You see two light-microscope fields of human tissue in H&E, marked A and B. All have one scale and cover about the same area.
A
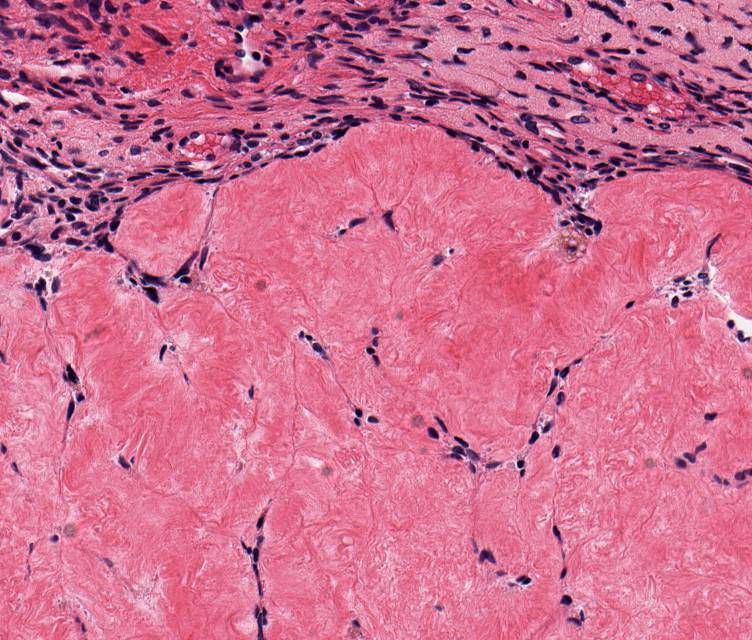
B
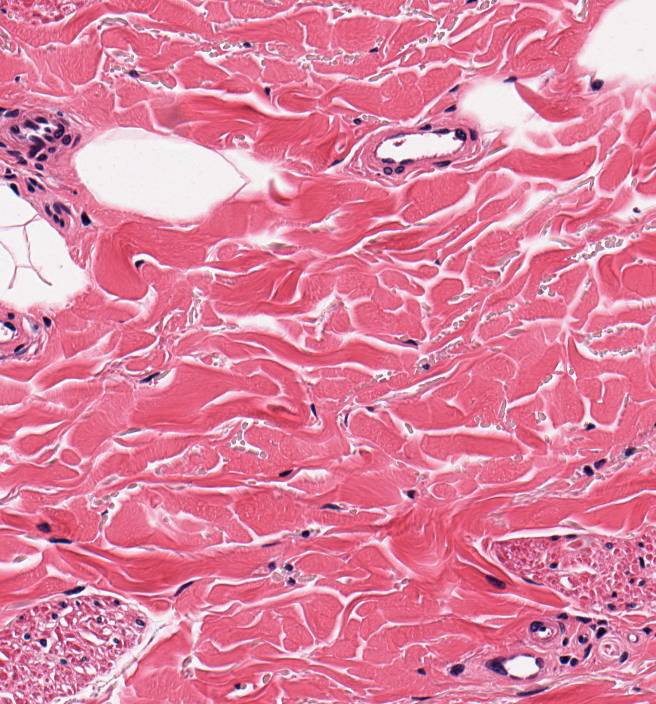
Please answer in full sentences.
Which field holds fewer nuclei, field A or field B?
There are fewer nuclei in field B.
